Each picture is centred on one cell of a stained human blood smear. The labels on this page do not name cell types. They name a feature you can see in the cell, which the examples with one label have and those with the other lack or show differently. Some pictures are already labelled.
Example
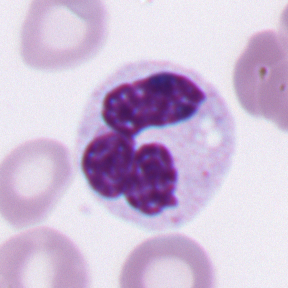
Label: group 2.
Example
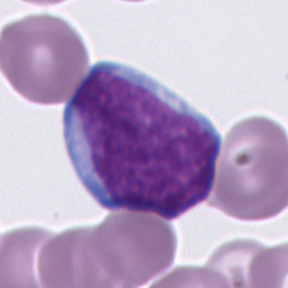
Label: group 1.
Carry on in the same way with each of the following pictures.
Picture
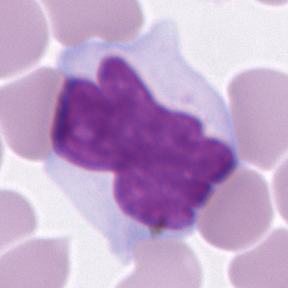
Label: group 1.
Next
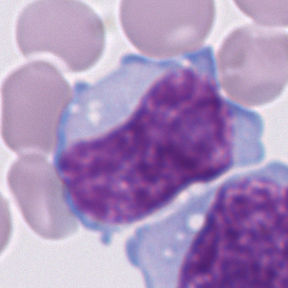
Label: group 2.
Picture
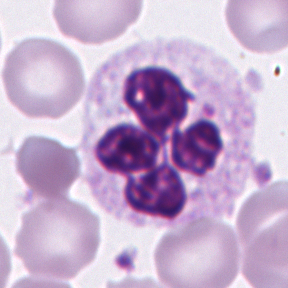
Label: group 1.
